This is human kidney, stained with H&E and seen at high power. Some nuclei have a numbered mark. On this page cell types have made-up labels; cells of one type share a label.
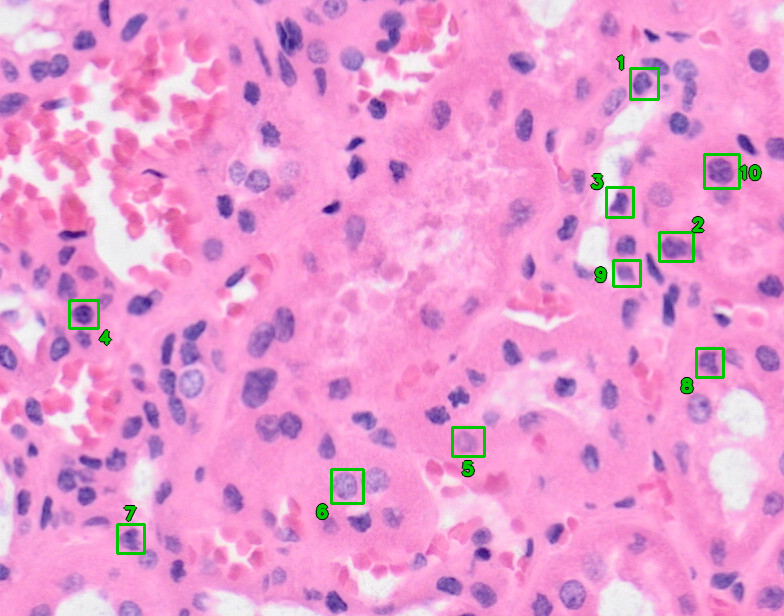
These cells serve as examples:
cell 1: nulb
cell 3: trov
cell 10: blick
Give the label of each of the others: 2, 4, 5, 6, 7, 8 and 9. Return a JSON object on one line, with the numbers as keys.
{"2": "blick", "4": "nulb", "5": "trov", "6": "trov", "7": "nulb", "8": "blick", "9": "trov"}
